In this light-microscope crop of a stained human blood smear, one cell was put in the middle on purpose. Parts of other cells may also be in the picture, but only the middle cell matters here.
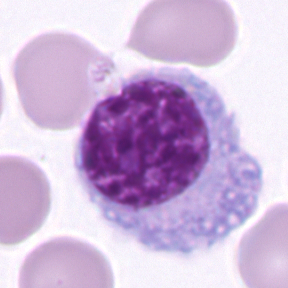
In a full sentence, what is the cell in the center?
Occupying the centre of the crop is a plasma cell.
